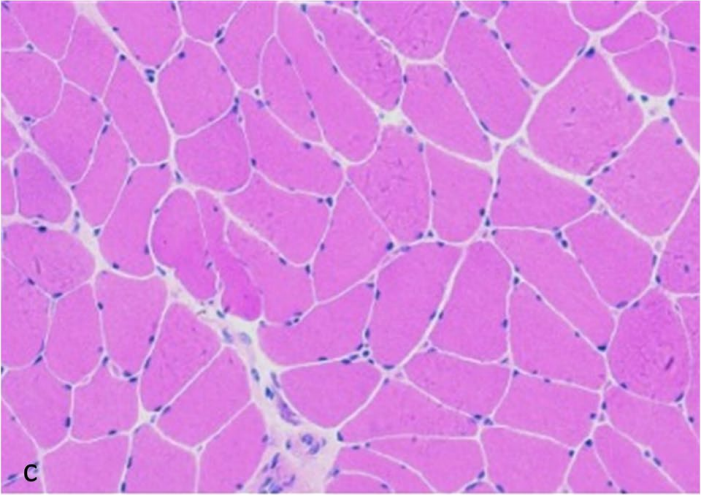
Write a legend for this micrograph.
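Skeletal muscle is seen in cross-section: polygonal, evenly pink fibers packed closely together, each edged by a few flattened dark-blue nuclei at its periphery. The fibers vary mildly in size, some smaller and more rounded, but most are of similar diameter. Thin pale seams separate the fibers, and a slightly broader strand of connective tissue carrying a small vessel runs between groups of fibers. No clusters of small round cells crowd the spaces, and no pale or fragmented fibers stand out. This is muscle with only mild variation in fiber size and no inflammatory infiltrate or fiber necrosis.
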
